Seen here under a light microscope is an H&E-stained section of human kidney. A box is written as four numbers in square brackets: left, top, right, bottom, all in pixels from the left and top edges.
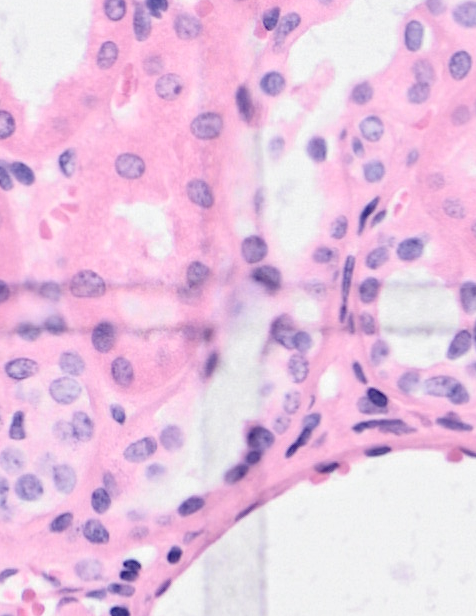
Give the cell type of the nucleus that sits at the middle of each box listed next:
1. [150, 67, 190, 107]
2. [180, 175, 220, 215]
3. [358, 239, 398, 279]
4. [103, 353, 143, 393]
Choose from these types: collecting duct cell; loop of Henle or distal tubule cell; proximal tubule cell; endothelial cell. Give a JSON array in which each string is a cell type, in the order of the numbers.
["proximal tubule cell", "proximal tubule cell", "collecting duct cell", "proximal tubule cell"]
